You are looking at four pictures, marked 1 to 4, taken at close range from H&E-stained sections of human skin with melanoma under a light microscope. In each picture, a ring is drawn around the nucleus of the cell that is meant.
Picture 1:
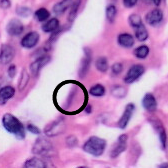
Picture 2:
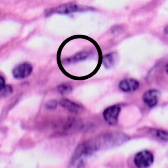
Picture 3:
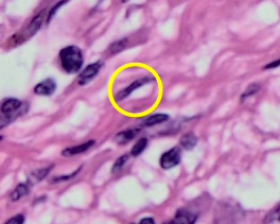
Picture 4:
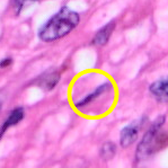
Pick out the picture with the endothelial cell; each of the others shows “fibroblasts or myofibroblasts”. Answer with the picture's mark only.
1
